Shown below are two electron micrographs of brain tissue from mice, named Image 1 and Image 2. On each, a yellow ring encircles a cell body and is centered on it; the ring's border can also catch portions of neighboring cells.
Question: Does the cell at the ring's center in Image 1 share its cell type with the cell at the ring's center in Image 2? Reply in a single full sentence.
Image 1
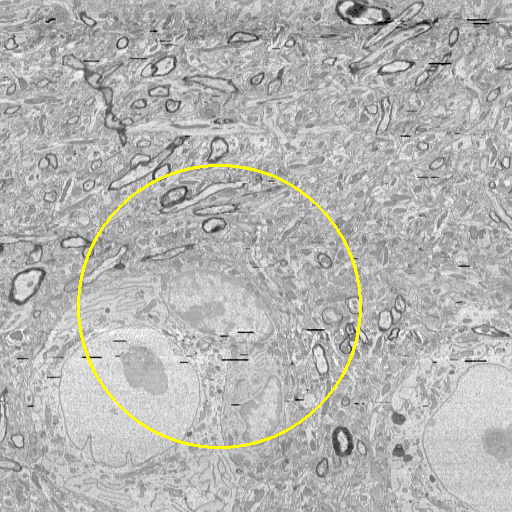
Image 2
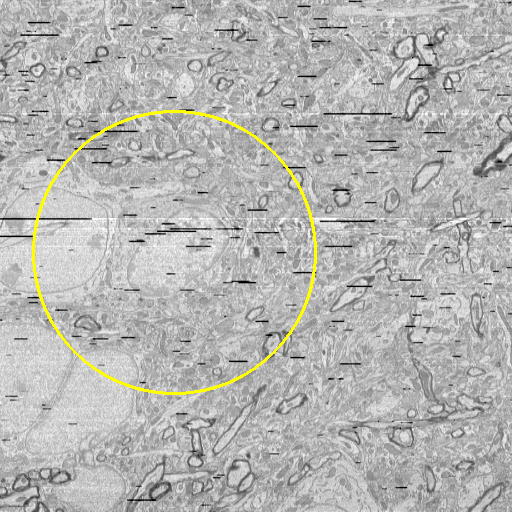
Yes, the two cells at the ring centers, in Image 1 and Image 2, share one cell type.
